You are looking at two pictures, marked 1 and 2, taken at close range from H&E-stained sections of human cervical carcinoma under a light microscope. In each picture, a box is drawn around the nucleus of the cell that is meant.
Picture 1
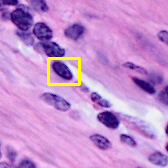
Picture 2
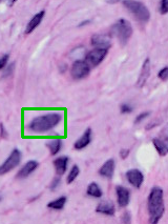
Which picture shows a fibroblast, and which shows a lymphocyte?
1: lymphocyte
2: fibroblast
